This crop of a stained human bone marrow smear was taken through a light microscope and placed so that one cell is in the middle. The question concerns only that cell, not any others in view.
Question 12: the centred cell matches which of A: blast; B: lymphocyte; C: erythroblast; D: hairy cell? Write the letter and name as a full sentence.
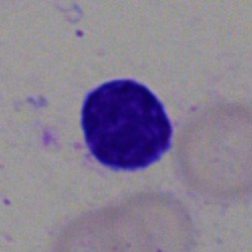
Since the cell in the centre is a lymphocyte, the correct option is B.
